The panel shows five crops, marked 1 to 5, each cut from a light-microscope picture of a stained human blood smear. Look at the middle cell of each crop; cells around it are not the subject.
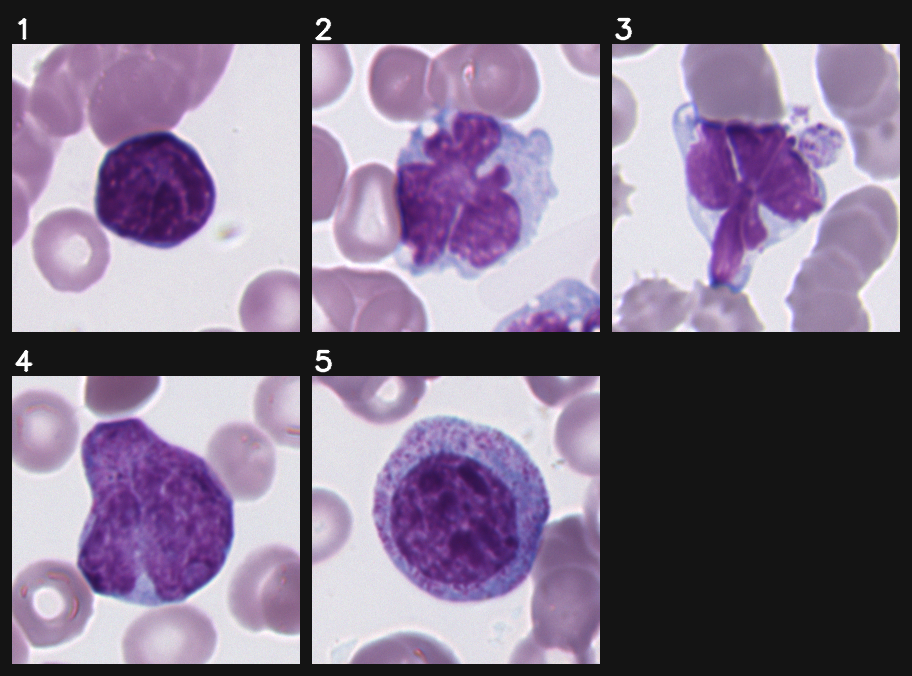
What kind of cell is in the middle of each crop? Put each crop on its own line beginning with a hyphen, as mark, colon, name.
- 1: myeloblast
- 2: monocyte
- 3: large granular lymphocyte
- 4: atypical promyelocyte
- 5: promyelocyte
